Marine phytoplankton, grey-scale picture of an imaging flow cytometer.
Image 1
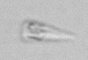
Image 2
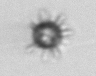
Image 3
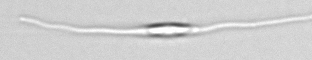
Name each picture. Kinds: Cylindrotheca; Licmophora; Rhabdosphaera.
Picture 1: Licmophora
Picture 2: Rhabdosphaera
Picture 3: Cylindrotheca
